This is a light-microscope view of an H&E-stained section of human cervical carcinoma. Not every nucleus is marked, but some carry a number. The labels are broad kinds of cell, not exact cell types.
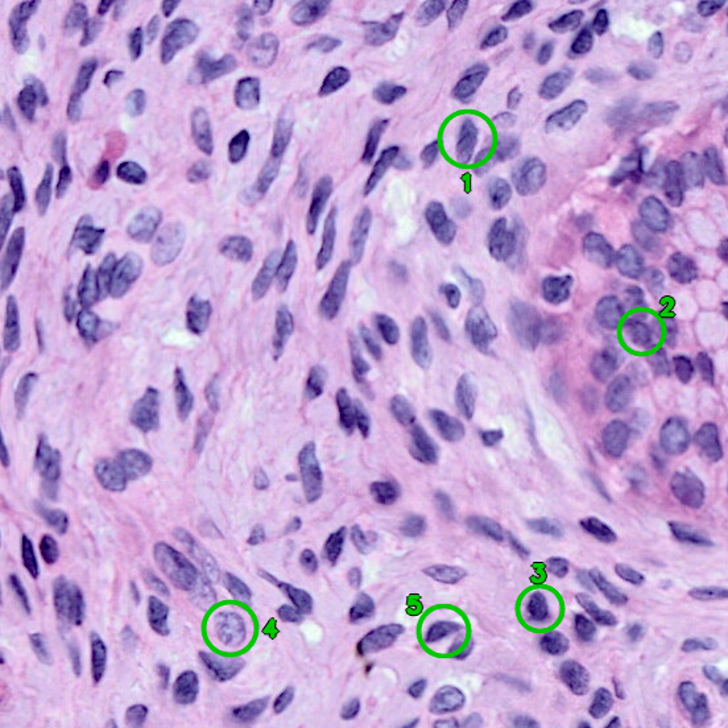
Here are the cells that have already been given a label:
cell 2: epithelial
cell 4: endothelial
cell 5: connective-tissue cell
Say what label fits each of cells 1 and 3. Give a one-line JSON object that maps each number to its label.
{"1": "connective-tissue cell", "3": "connective-tissue cell"}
